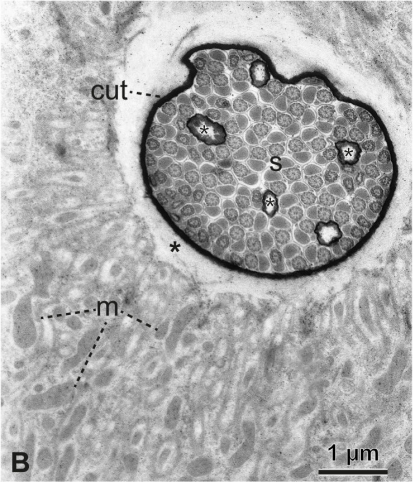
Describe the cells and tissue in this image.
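A round, sharply outlined profile sits in the epithelium, bounded by a thick, very dark rim of cuticle. Inside it lie dozens of small round cross-sectioned sperm, each with a ring-like internal pattern, packed closely together. Among the sperm are a few small lumens with their own dark rims, and one notch bulges off the edge of the profile. Around the rim runs a pale clear zone, and beyond it the epithelial cytoplasm is crowded with elongate and round mitochondria. This is a cuticle-lined pocket filled with sperm, where secretory ducts merge with invaginations of the cuticle.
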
